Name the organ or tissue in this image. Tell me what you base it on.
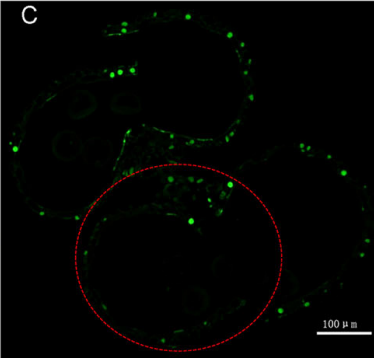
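Several rounded chambers bounded by thin cellular walls. Chambers joined at a central connective region. On this evidence: anthers.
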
